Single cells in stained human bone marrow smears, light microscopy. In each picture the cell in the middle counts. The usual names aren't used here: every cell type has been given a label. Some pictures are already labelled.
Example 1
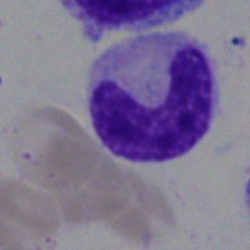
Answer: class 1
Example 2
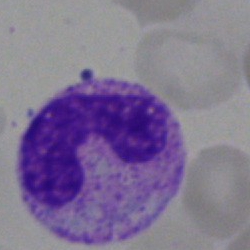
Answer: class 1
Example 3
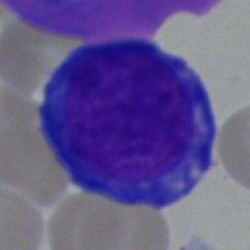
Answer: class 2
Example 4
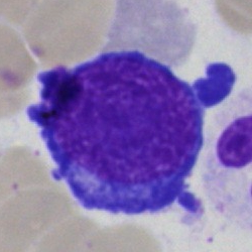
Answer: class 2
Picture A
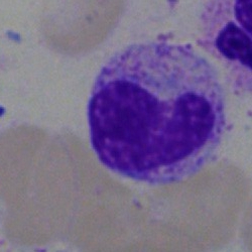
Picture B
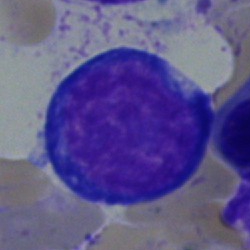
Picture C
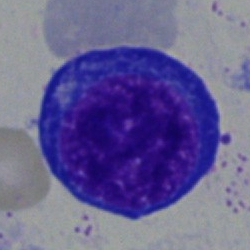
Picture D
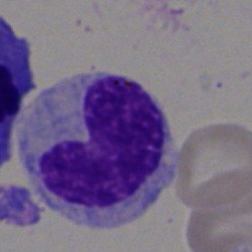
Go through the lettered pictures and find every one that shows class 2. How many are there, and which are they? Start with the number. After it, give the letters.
2: B, C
